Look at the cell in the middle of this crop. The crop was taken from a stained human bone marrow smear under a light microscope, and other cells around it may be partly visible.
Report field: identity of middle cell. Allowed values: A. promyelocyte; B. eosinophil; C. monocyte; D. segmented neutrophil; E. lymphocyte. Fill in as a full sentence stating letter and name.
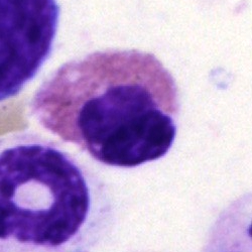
The cell in the center of this crop is an eosinophil, so option B is the one to pick.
